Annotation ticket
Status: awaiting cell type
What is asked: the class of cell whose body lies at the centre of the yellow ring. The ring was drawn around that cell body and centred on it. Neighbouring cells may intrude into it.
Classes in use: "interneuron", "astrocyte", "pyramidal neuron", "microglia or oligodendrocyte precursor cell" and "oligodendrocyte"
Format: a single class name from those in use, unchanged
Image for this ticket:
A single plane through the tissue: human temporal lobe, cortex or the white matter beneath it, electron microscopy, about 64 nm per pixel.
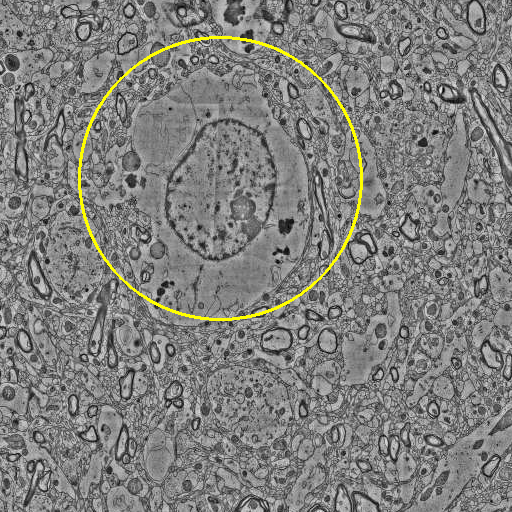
astrocyte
